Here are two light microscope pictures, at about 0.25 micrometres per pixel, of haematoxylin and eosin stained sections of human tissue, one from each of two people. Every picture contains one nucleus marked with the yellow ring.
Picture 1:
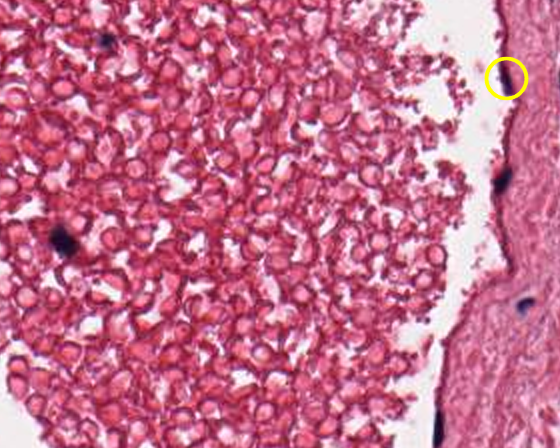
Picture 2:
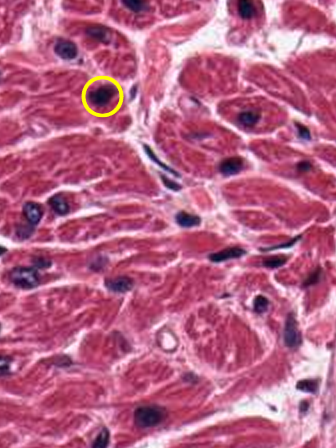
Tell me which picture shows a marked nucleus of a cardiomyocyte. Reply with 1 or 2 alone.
2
